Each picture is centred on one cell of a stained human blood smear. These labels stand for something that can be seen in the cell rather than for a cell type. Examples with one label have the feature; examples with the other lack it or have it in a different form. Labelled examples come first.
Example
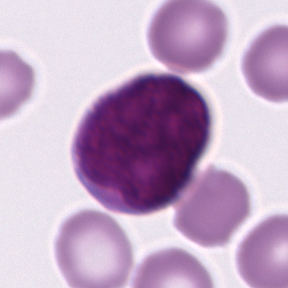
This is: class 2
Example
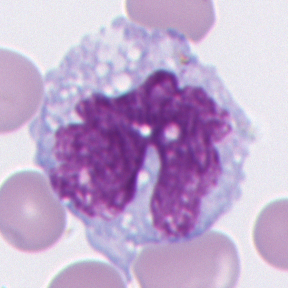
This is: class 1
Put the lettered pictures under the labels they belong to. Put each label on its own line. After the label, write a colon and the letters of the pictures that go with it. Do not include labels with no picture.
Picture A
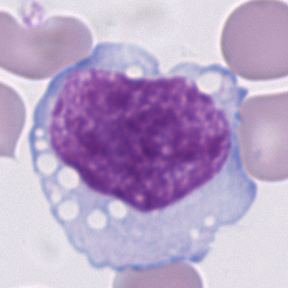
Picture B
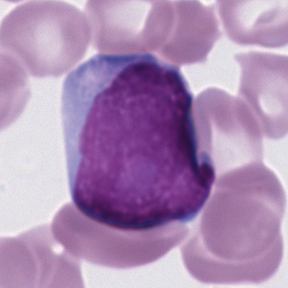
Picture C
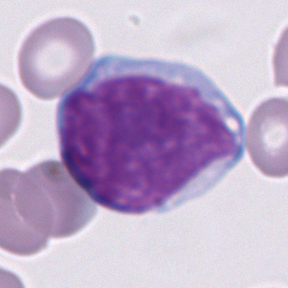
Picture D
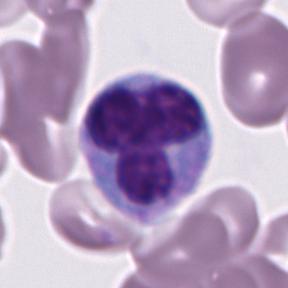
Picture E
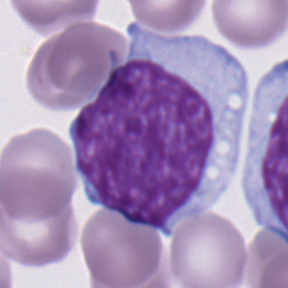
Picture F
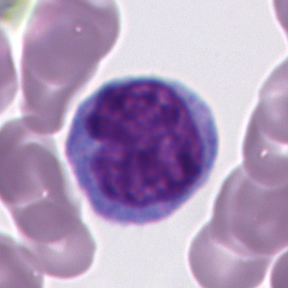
class 2: B, D, F
class 1: A, C, E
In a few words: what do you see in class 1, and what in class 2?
class 1: vacuoles present; class 2: no vacuoles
